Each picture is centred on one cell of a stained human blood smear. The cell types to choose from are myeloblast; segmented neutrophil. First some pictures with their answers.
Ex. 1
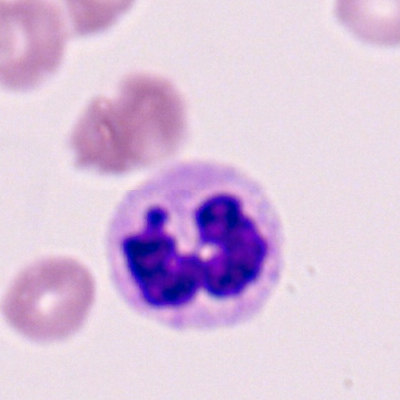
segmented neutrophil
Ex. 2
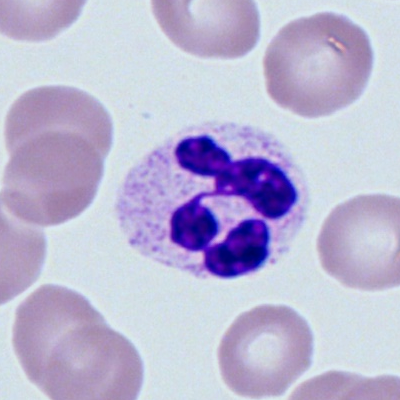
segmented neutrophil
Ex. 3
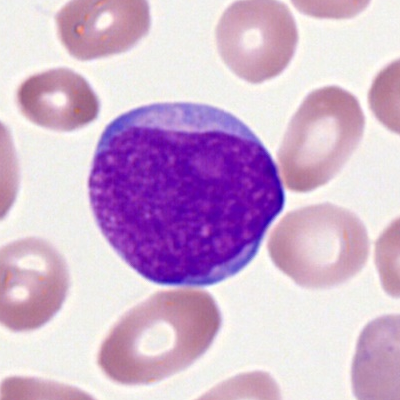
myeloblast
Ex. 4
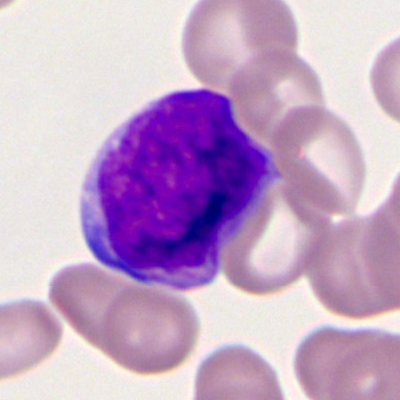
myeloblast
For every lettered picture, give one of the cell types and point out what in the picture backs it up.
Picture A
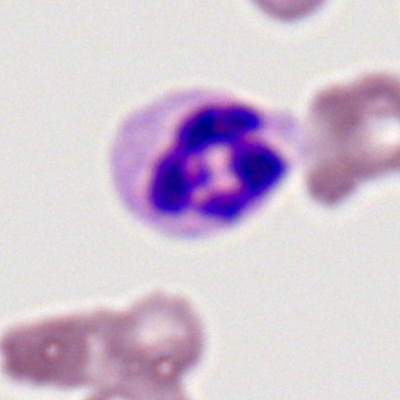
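segmented neutrophil. Reason: The nucleus is divided into several lobes arranged roughly in a ring.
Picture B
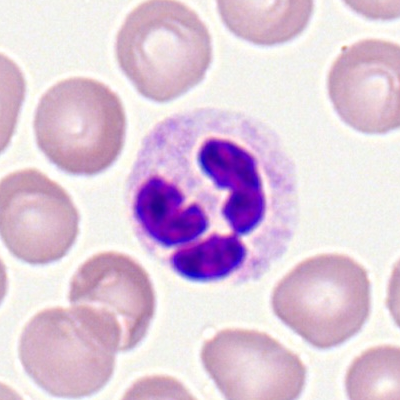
segmented neutrophil. Reason: The cytoplasm is plentiful and pale pinkish-lilac.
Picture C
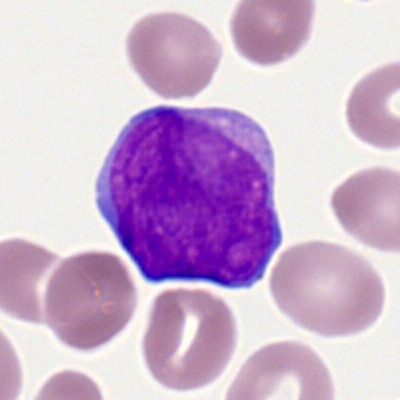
myeloblast. Reason: The nucleus fills most of the cell.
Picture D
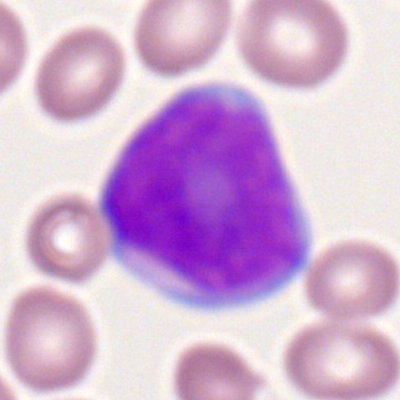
myeloblast. Reason: The nucleus fills almost the whole cell.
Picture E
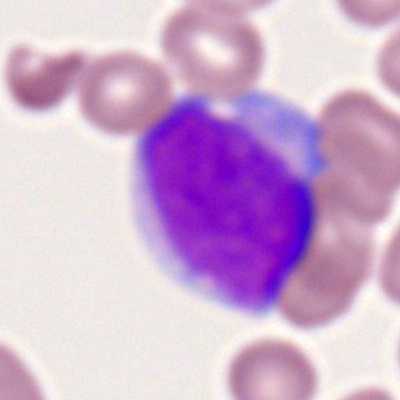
myeloblast. Reason: The nucleus fills most of the cell.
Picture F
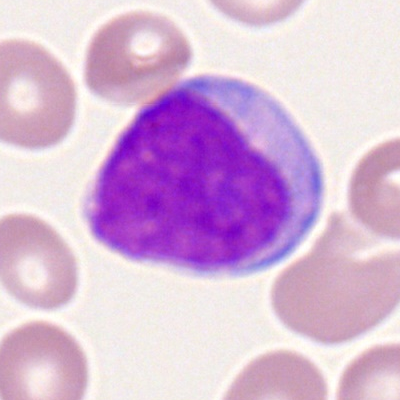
myeloblast. Reason: The nucleus fills most of the cell.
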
